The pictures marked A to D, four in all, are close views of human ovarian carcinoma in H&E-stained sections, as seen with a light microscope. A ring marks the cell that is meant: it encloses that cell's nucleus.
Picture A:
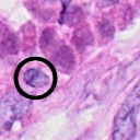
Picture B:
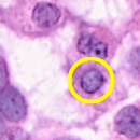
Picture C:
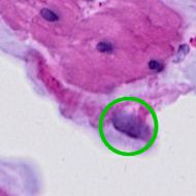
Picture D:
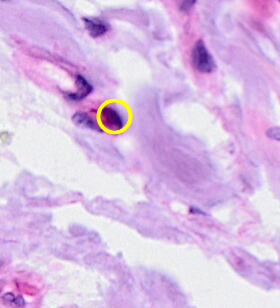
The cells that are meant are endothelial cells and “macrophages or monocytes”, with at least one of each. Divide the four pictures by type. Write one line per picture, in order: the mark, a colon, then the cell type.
A: macrophage or monocyte
B: macrophage or monocyte
C: endothelial cell
D: endothelial cell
